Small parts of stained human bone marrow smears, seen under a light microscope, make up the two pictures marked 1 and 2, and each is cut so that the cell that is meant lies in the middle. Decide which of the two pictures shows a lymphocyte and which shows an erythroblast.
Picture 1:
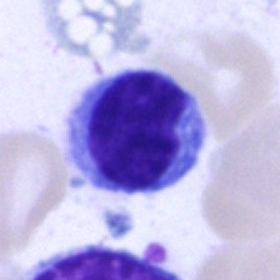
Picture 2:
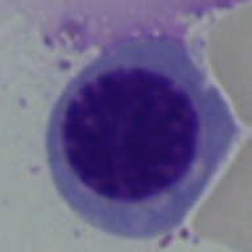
1: lymphocyte
2: erythroblast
